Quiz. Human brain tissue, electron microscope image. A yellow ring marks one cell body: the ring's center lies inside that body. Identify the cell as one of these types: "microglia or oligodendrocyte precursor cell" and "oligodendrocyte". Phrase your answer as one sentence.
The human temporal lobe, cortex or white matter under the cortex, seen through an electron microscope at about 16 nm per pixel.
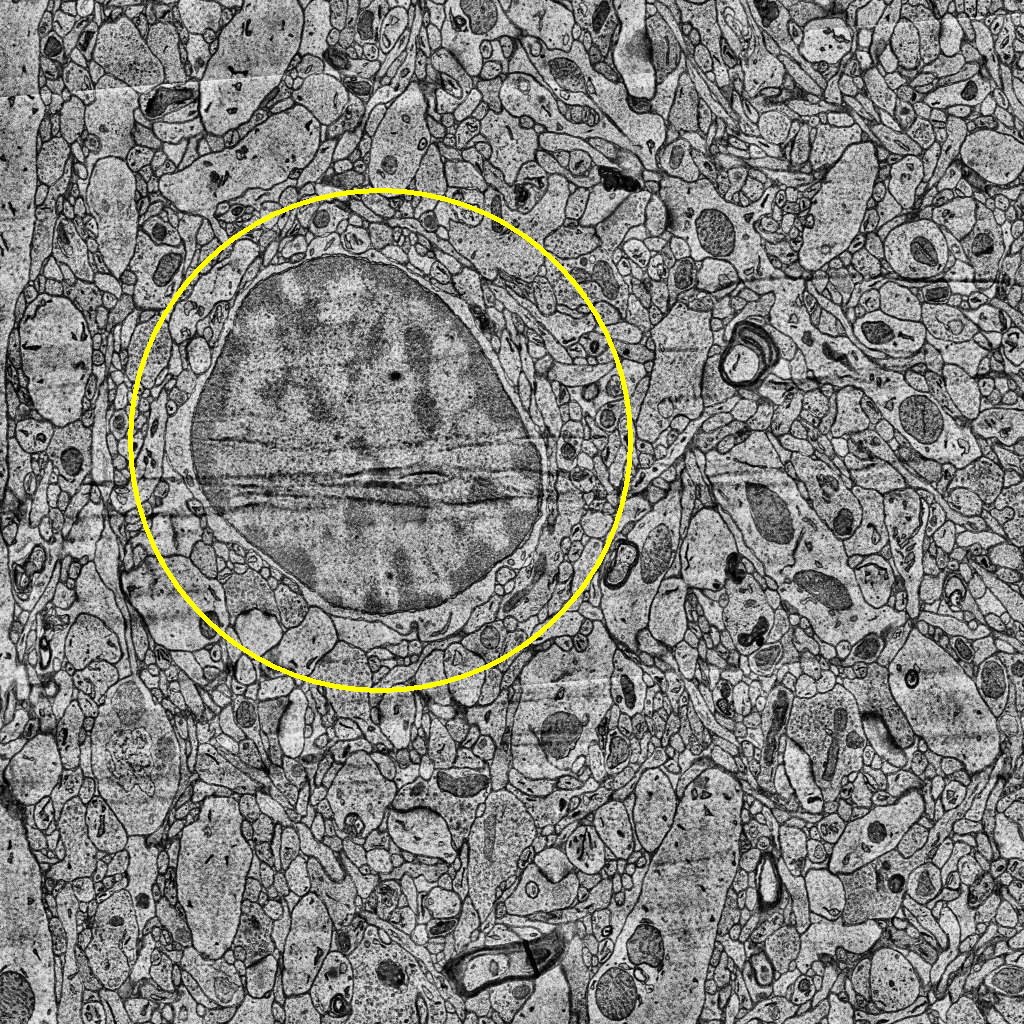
At the center of the ring sits a microglial cell or oligodendrocyte precursor cell.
